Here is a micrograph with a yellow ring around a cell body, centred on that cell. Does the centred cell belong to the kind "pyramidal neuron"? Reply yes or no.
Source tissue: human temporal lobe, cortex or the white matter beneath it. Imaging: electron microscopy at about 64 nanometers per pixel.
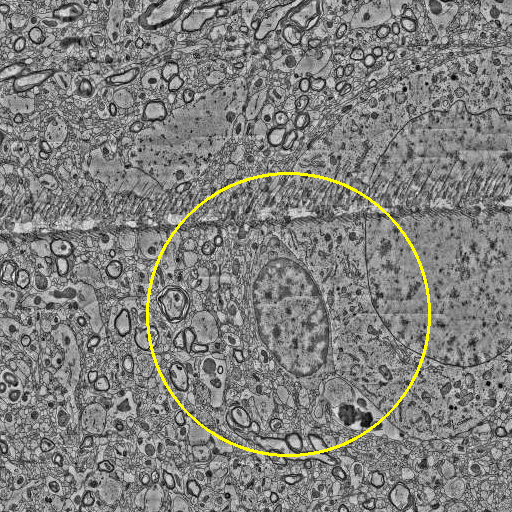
no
